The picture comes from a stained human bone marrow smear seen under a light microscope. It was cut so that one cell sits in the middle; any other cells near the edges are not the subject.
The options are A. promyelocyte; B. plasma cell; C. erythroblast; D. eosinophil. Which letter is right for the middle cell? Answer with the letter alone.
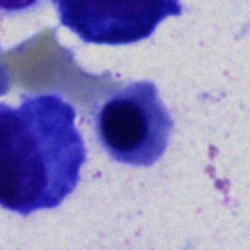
C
